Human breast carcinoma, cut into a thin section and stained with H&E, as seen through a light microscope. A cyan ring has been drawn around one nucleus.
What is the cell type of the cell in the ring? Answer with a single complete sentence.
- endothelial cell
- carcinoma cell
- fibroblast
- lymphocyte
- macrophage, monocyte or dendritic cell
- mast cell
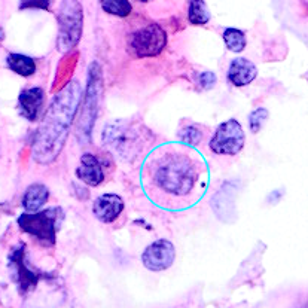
The identity of the cell in the ring is that of a macrophage, monocyte or dendritic cell.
